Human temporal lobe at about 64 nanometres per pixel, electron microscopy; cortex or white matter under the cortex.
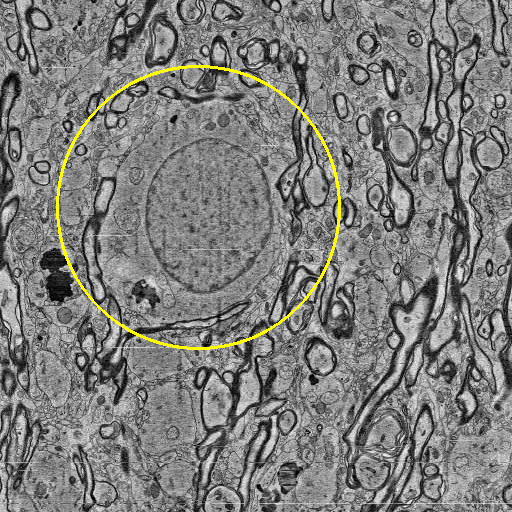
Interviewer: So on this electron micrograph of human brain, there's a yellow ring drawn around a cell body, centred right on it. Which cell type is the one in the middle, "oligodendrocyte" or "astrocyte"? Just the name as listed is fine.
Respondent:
astrocyte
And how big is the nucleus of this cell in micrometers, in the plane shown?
In this plane, roughly 10 by 8 micrometres.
